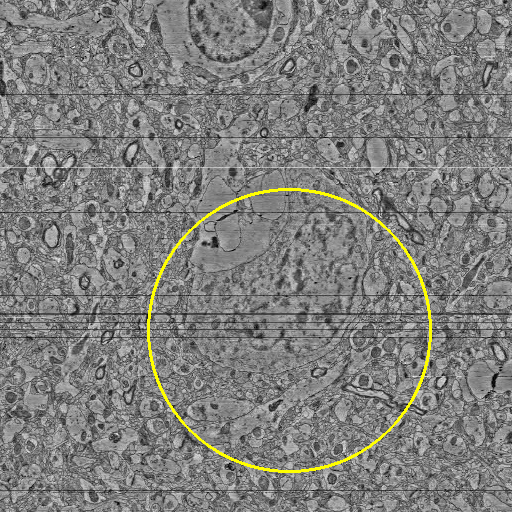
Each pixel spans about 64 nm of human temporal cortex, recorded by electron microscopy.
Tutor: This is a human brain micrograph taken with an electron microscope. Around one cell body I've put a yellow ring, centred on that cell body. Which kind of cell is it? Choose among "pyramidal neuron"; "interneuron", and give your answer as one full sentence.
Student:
Going by your list, the cell centred in the yellow ring is an interneuron.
